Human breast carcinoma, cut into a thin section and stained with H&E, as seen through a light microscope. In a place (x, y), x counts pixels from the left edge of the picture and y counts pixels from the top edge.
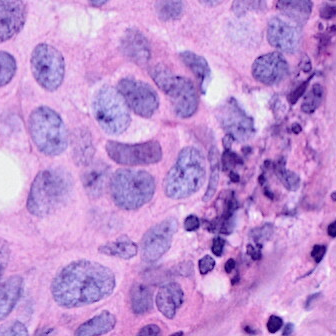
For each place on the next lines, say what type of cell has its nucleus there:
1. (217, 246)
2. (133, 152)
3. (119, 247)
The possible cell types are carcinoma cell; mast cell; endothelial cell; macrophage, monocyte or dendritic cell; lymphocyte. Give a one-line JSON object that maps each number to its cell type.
{"1": "lymphocyte", "2": "carcinoma cell", "3": "carcinoma cell"}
